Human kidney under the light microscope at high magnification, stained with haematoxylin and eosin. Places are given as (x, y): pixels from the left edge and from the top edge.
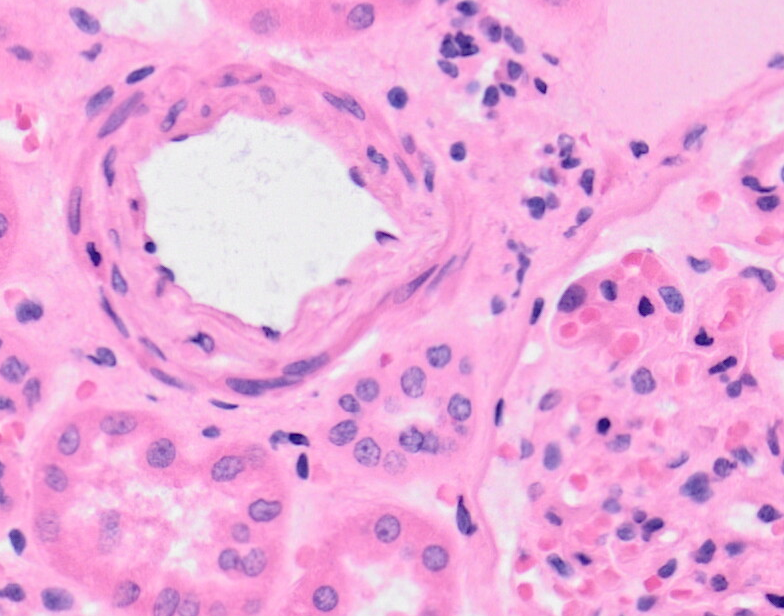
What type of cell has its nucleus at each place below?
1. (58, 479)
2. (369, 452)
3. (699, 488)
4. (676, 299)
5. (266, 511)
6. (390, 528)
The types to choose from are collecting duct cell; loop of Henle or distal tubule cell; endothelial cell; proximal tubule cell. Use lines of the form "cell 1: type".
cell 1: proximal tubule cell
cell 2: collecting duct cell
cell 3: endothelial cell
cell 4: endothelial cell
cell 5: proximal tubule cell
cell 6: proximal tubule cell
